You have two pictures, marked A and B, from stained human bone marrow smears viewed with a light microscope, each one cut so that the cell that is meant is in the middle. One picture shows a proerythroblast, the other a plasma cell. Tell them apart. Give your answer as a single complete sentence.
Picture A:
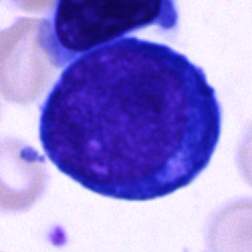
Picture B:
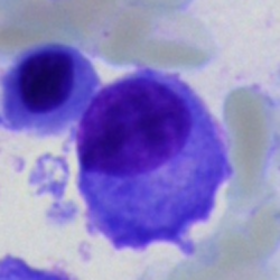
In picture A the cell is a proerythroblast; in picture B, a plasma cell.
